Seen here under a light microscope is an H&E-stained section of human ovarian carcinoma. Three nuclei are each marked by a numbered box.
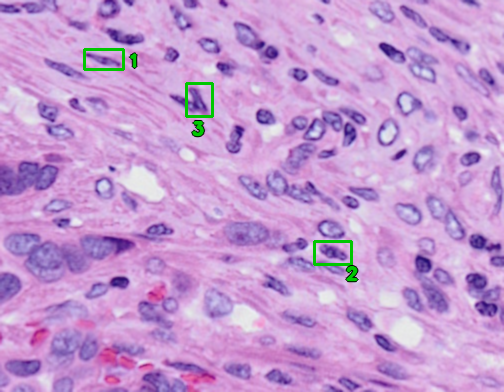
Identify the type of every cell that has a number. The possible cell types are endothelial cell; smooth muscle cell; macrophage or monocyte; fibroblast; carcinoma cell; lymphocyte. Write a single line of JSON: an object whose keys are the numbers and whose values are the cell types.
{"1": "fibroblast", "2": "lymphocyte", "3": "fibroblast"}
